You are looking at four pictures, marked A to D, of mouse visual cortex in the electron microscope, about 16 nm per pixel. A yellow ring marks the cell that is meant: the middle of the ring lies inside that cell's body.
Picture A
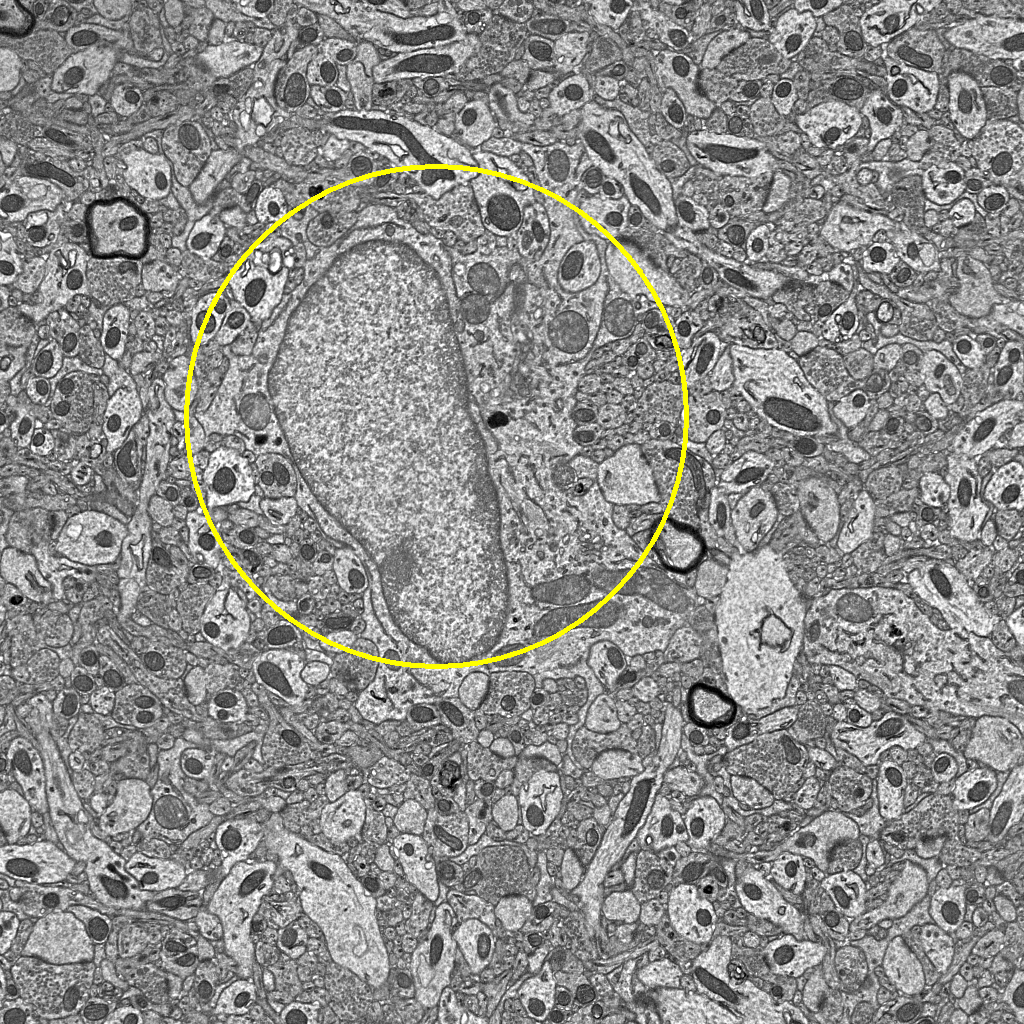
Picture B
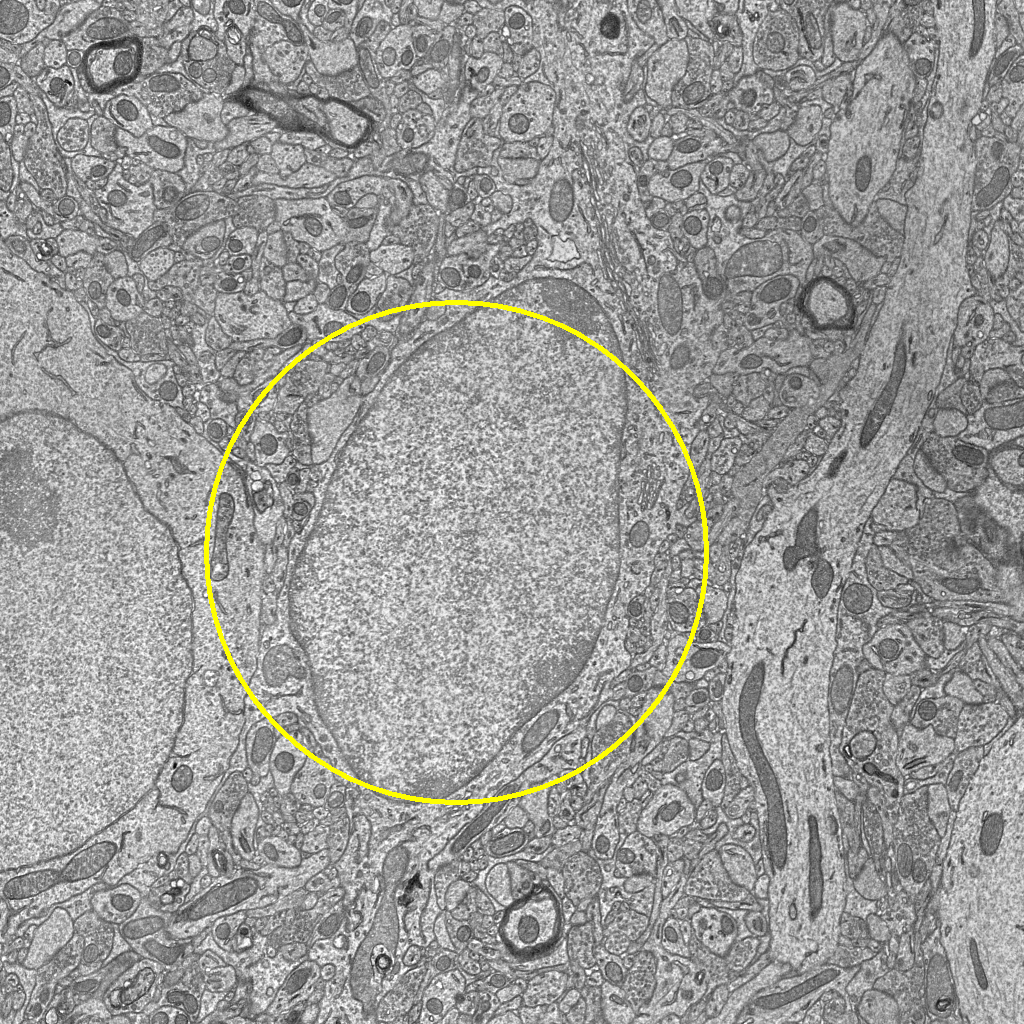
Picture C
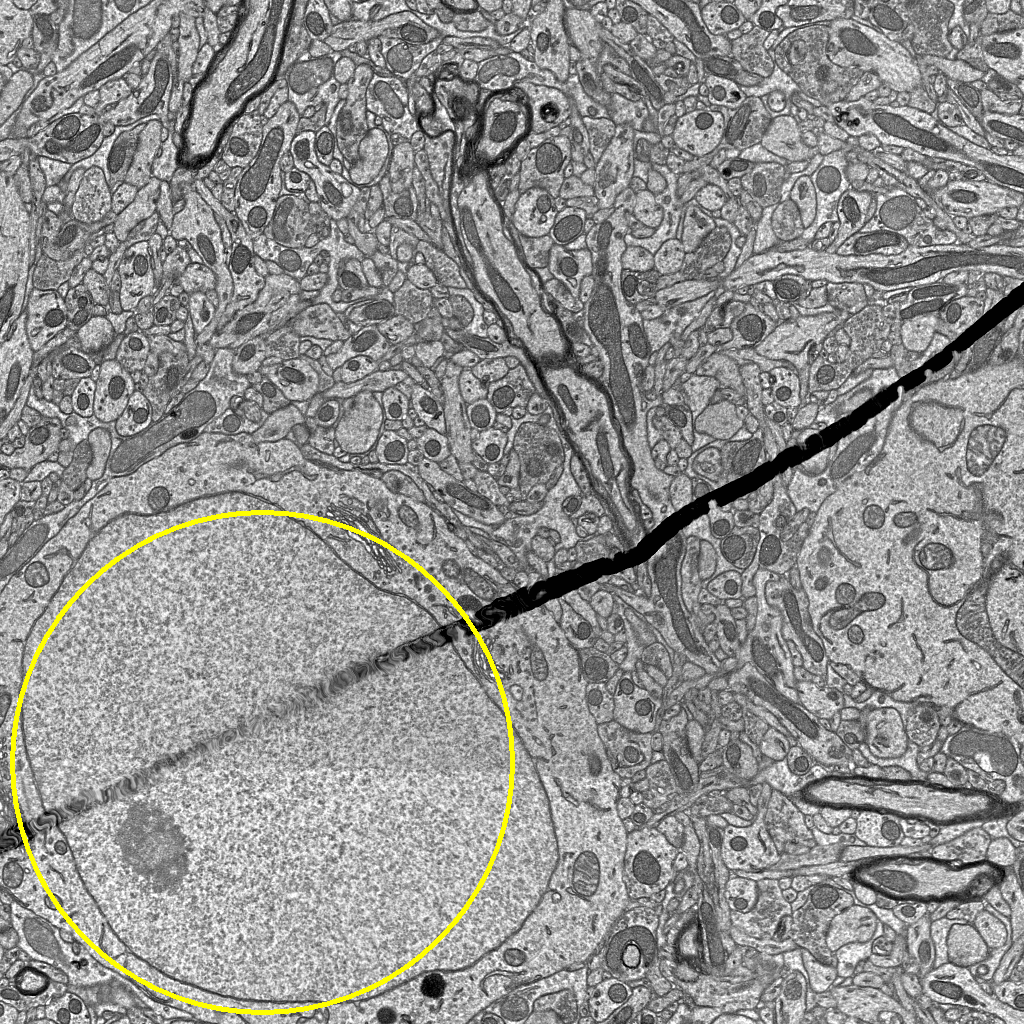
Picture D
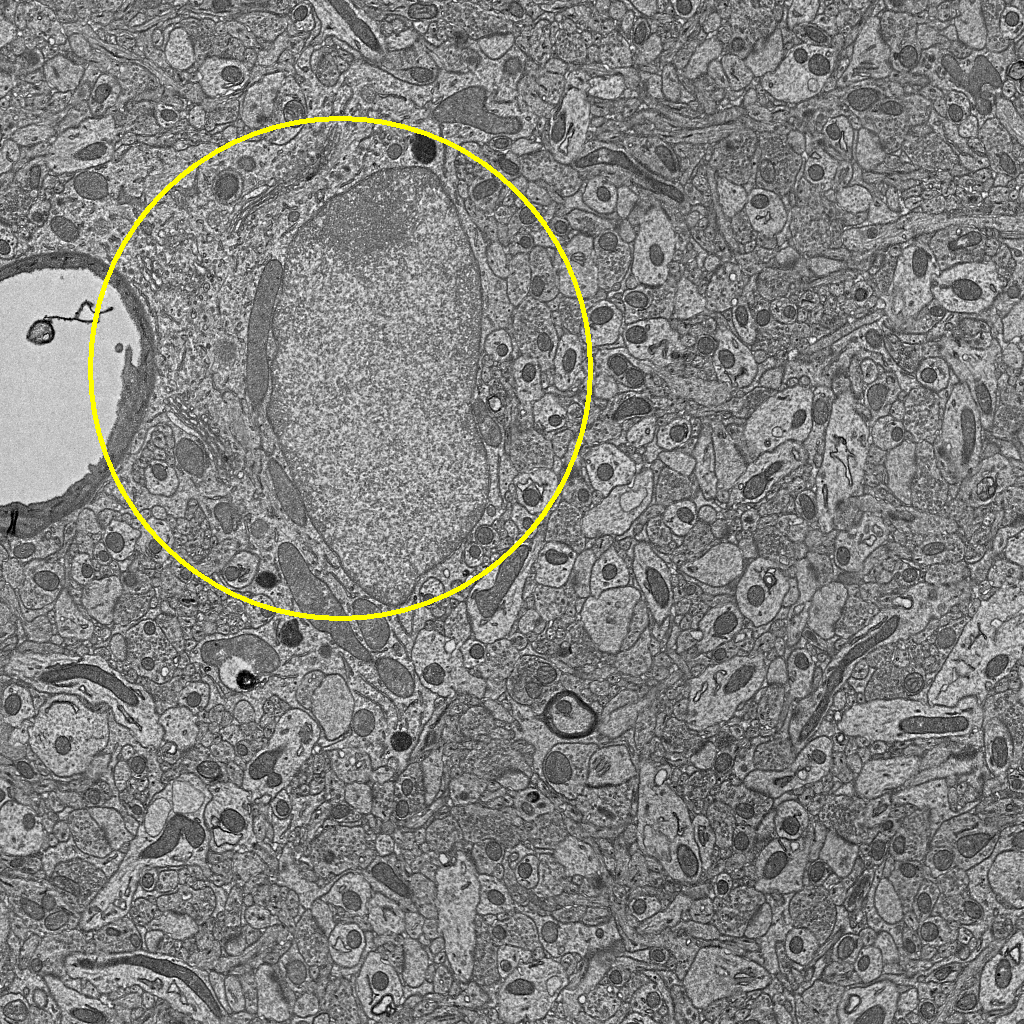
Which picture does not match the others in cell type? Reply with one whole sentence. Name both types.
The others show astrocytes, but picture C shows an excitatory neuron.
